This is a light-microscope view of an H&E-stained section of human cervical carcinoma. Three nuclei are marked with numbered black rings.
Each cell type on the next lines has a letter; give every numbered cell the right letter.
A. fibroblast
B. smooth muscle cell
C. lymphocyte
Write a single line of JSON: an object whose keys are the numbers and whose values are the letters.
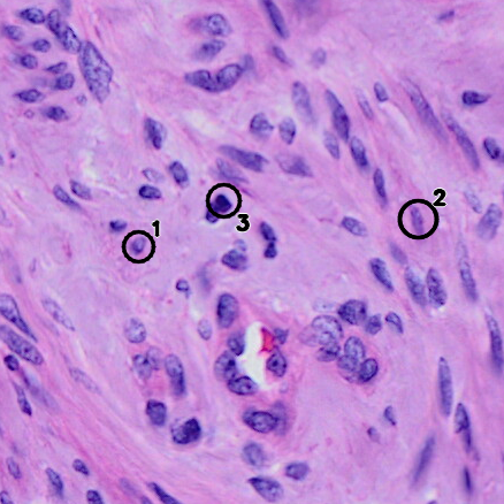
{"1": "B", "2": "B", "3": "C"}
